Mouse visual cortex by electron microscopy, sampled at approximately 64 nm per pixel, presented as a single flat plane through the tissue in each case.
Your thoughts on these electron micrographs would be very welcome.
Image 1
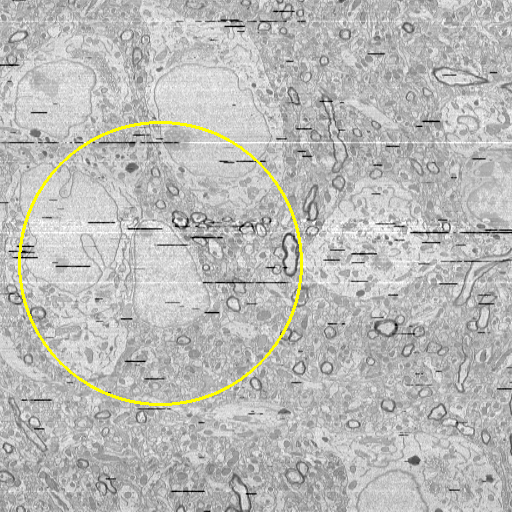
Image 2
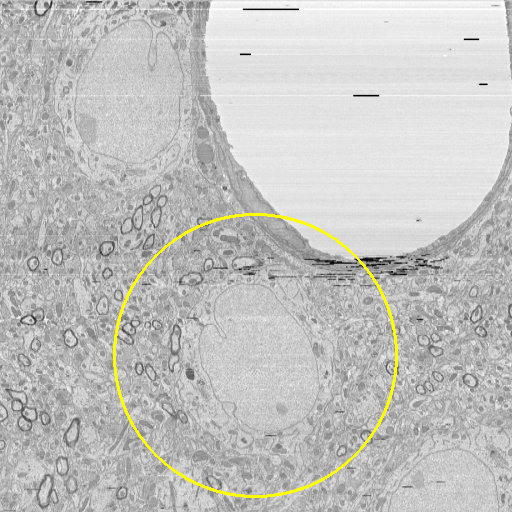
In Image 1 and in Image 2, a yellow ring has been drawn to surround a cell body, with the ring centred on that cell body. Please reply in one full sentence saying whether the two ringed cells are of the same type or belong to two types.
The ringed cells in Image 1 and Image 2 belong to two types.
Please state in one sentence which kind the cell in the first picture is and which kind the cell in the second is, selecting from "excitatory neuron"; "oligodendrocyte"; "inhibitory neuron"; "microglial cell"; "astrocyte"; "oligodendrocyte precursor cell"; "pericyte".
The first ringed cell is an astrocyte, the second ringed cell an excitatory neuron.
